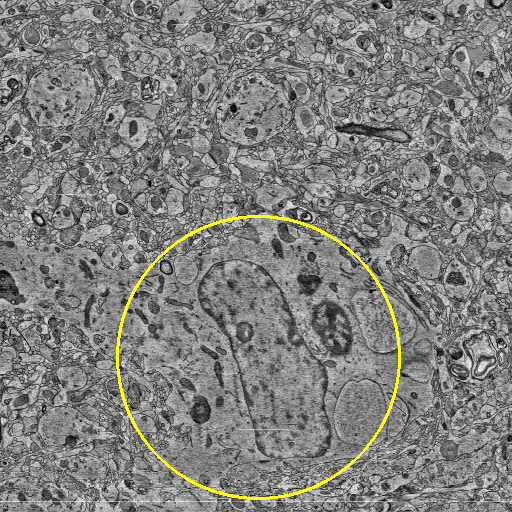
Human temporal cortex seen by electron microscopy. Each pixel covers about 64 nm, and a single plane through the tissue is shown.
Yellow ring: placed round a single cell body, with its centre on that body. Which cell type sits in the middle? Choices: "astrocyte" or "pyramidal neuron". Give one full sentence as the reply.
It is an astrocyte whose cell body sits at the centre of the yellow ring.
